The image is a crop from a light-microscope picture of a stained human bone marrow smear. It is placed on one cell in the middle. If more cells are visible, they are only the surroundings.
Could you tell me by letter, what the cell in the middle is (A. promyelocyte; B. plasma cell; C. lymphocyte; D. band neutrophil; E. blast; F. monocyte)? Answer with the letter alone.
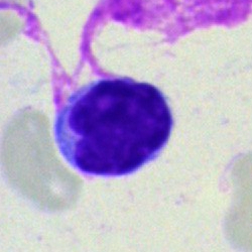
C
